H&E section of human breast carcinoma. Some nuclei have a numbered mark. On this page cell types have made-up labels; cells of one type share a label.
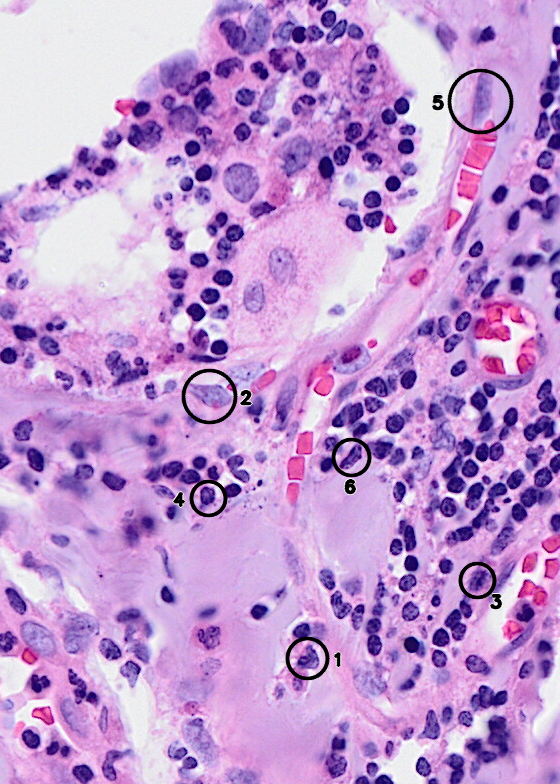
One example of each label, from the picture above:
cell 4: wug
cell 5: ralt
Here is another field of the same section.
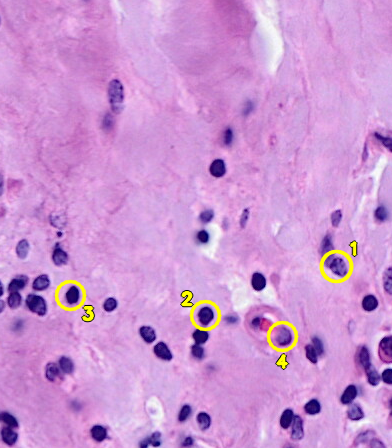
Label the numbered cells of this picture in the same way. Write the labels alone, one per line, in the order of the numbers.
wug
wug
wug
ralt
